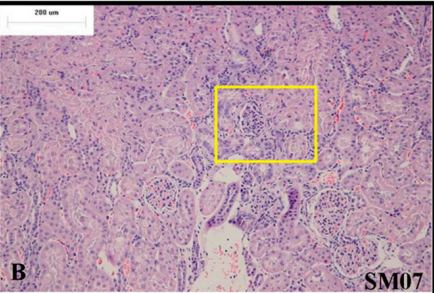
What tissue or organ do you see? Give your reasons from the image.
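Several round glomeruli are present. They lie among cross-sections of tubules lined by cuboidal cells.
Conclusion: kidney cortex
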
